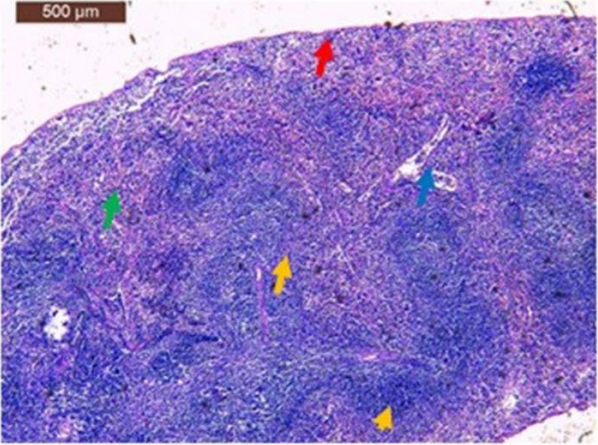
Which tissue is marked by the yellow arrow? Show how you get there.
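White pulp. The section shows rounded, densely blue-staining nodular areas. The yellow arrow lies among these densely packed, darkly staining areas.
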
